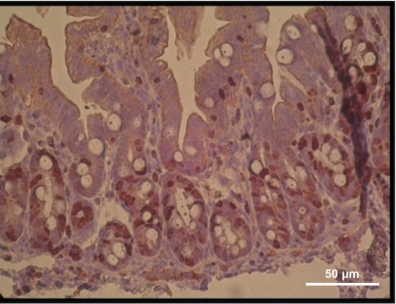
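Small intestinal mucosa with the bases of villi toward the top, bordering an empty lumen, and a row of crypts cut across and obliquely toward the bottom. The crypts are lined by columnar epithelial cells, and many of their nuclei are stained dark brown-red, concentrated in the crypt bases, while nuclei higher up toward the villi are mostly blue. Goblet cells appear as round clear vacuoles throughout the epithelium. The cytoplasm of the epithelium is light brown. Lamina propria with scattered blue nuclei fills the spaces between the crypts.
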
